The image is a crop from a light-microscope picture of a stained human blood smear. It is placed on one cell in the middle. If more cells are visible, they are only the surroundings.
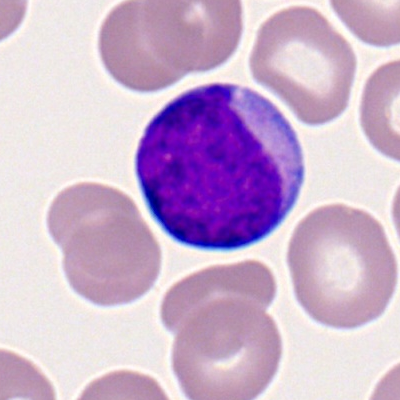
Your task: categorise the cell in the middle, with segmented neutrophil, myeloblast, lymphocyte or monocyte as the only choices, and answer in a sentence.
The cell sitting right in the middle is a myeloblast.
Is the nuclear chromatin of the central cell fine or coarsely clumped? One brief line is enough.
Here the nuclear chromatin is coarsely clumped.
